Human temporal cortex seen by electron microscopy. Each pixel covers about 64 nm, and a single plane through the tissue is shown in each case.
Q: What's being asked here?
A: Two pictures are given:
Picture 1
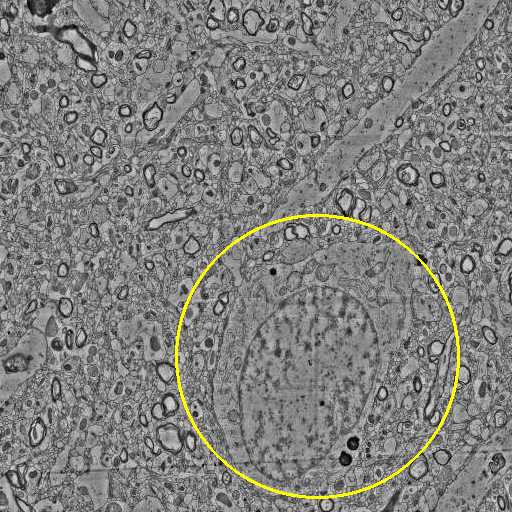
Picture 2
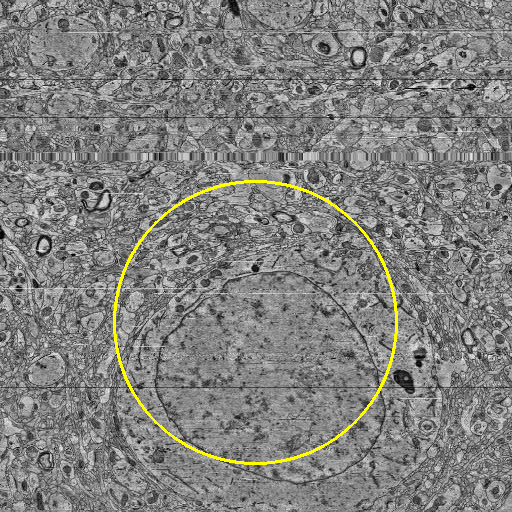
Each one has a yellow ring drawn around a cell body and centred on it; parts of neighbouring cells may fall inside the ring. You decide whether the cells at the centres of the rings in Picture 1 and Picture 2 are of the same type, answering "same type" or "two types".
two types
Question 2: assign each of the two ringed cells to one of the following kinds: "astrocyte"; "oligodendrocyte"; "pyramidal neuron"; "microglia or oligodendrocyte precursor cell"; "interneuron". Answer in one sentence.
The two cells are an interneuron in the first picture and a pyramidal neuron in the second.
